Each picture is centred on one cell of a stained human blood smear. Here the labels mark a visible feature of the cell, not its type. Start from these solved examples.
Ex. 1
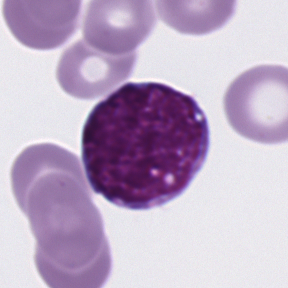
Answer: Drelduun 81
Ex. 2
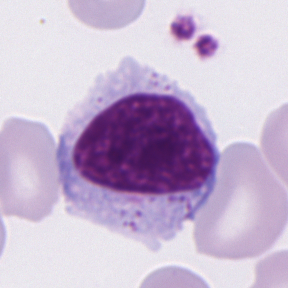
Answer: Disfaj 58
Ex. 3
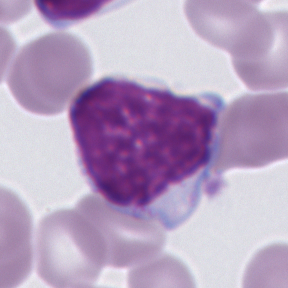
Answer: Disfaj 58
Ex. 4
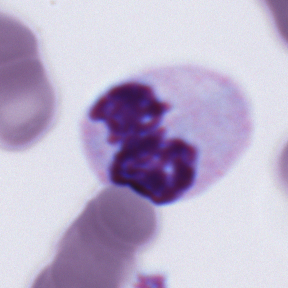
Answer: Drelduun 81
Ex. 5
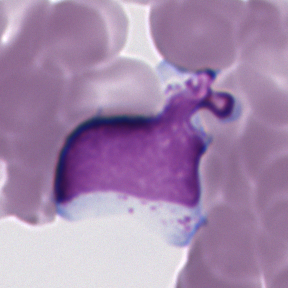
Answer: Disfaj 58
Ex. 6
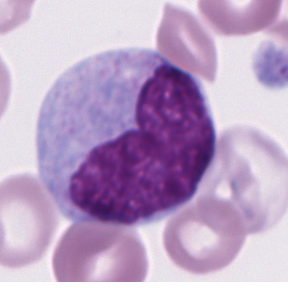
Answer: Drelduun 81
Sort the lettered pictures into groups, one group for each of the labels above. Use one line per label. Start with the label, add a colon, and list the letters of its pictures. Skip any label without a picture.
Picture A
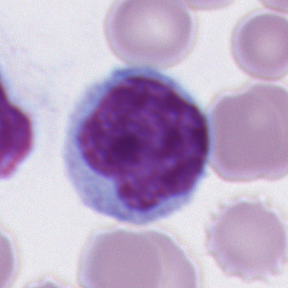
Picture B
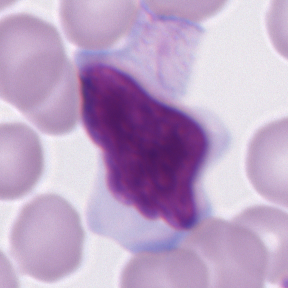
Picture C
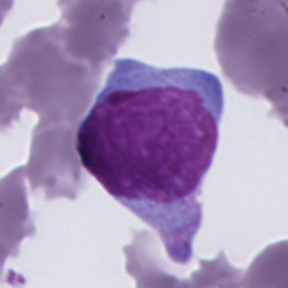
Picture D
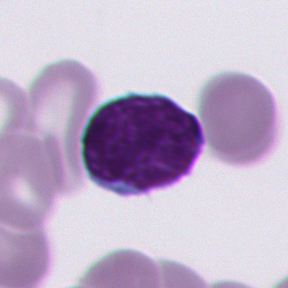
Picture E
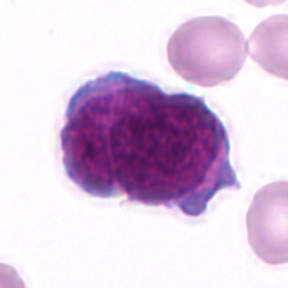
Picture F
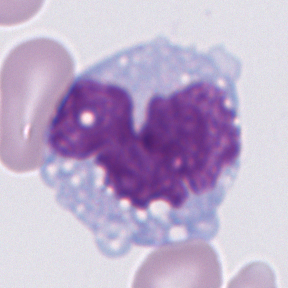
Drelduun 81: A, D
Disfaj 58: B, C, E, F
